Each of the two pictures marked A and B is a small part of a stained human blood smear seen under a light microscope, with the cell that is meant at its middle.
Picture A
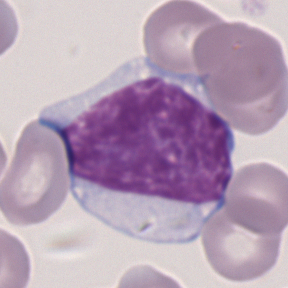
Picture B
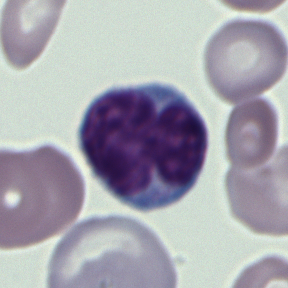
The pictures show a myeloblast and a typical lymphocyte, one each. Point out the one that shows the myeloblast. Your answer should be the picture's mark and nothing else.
A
